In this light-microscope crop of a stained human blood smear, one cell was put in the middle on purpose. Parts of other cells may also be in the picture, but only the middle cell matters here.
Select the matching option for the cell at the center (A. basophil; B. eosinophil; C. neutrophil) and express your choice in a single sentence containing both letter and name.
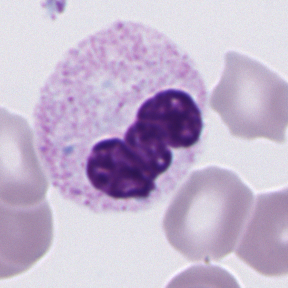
According to option C, which is correct, the cell in the middle is a neutrophil.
